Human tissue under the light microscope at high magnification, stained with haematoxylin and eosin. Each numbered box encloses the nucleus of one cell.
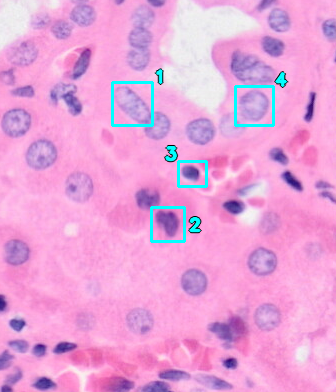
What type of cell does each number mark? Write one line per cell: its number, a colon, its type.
1: collecting duct cell
2: proximal tubule cell
3: endothelial cell
4: collecting duct cell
